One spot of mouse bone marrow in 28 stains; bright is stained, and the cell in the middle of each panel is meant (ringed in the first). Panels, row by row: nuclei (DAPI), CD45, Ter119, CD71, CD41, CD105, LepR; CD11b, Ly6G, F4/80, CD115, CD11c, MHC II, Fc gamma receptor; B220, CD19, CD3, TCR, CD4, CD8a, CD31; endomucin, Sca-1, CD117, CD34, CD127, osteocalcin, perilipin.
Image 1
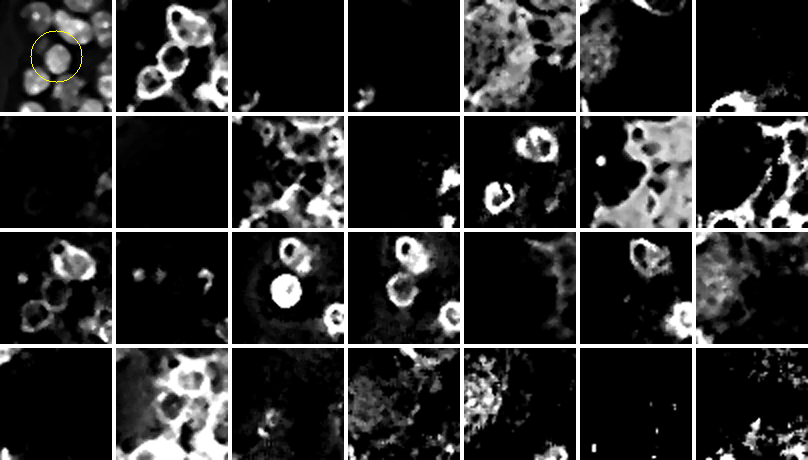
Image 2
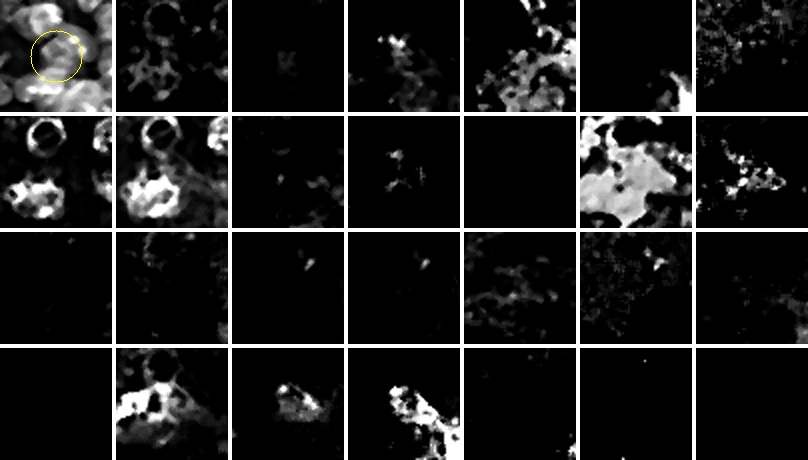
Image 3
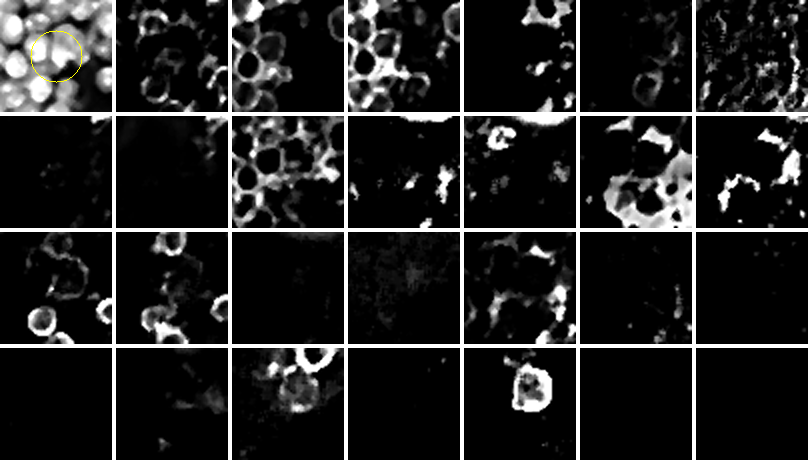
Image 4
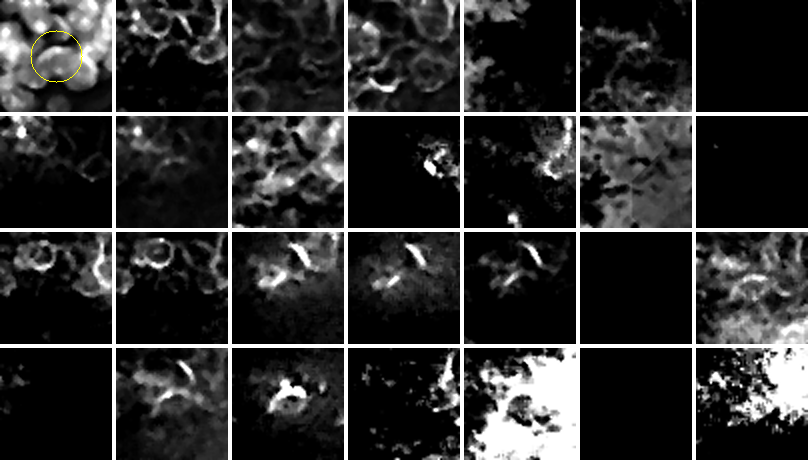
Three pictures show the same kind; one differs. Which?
Picture 1: a double-negative T cell, while the others are erythroid progenitors (CFU-E).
